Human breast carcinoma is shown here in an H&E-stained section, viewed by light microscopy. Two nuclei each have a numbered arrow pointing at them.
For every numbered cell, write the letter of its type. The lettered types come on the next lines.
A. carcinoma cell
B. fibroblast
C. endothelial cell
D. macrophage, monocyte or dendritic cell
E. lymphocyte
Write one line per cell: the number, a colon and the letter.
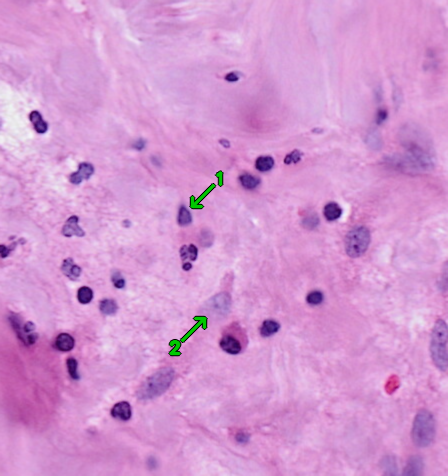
1: E
2: B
